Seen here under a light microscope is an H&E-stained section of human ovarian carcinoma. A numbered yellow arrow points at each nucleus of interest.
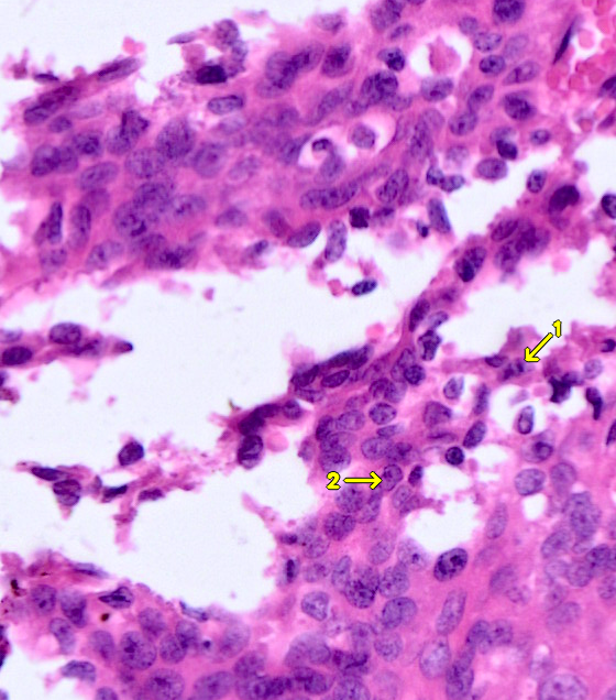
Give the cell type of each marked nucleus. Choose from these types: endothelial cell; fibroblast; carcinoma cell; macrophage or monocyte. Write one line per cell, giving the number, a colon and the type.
1: macrophage or monocyte
2: carcinoma cell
